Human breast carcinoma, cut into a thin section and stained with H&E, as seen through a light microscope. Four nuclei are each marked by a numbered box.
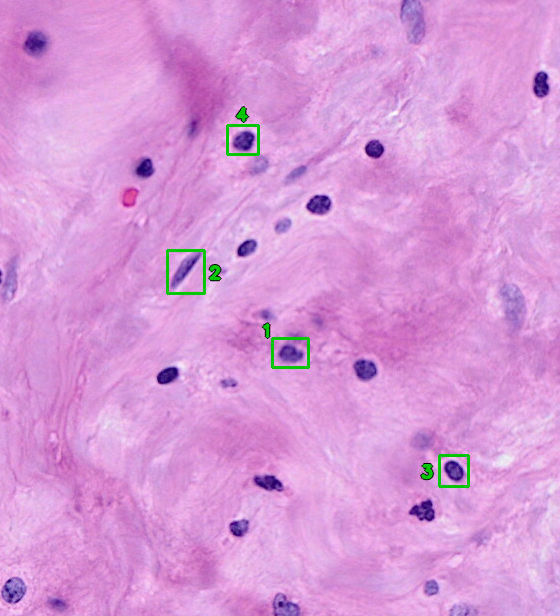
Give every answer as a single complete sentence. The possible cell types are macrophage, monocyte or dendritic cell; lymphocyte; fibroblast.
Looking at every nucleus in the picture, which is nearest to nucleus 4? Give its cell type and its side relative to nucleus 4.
The closest nucleus belongs to a macrophage, monocyte or dendritic cell and sits below and to the right of nucleus 4.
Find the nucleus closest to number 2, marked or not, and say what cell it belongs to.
The nucleus nearest to number 2 is that of a lymphocyte.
